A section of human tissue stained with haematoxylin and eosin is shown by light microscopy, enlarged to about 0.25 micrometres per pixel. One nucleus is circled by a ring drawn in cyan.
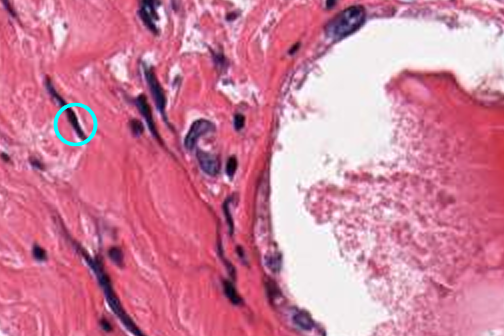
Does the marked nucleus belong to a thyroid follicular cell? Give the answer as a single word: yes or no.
no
